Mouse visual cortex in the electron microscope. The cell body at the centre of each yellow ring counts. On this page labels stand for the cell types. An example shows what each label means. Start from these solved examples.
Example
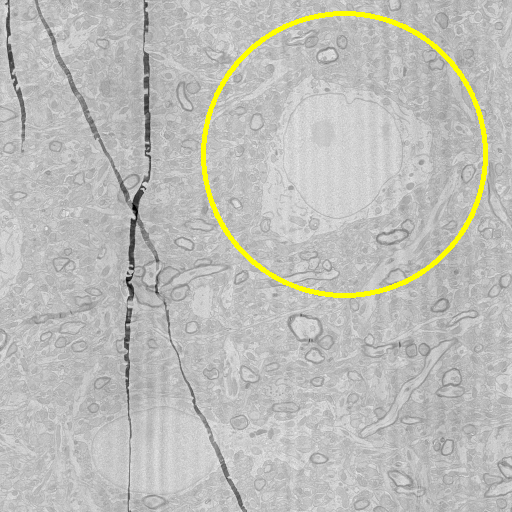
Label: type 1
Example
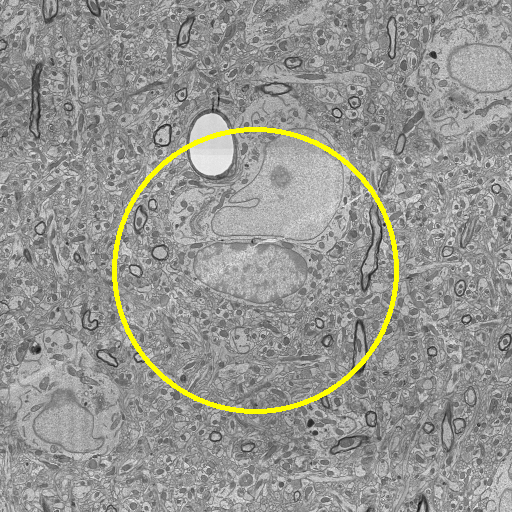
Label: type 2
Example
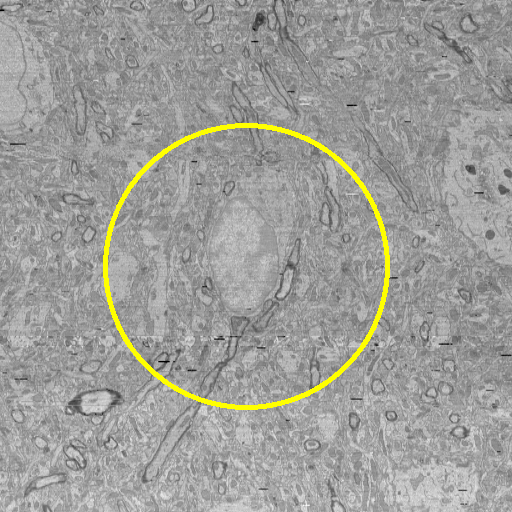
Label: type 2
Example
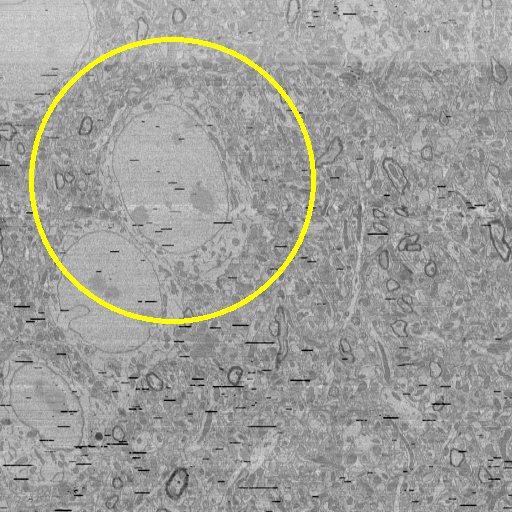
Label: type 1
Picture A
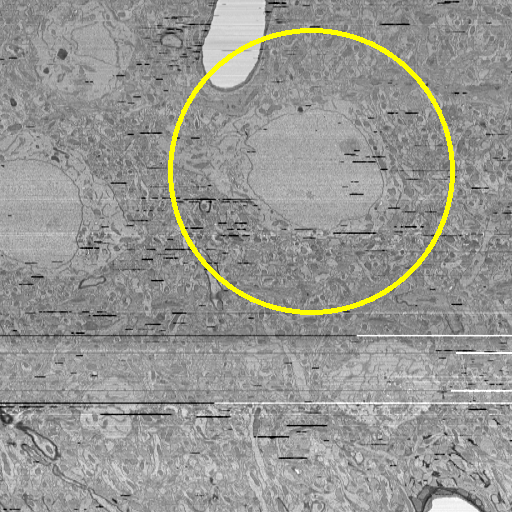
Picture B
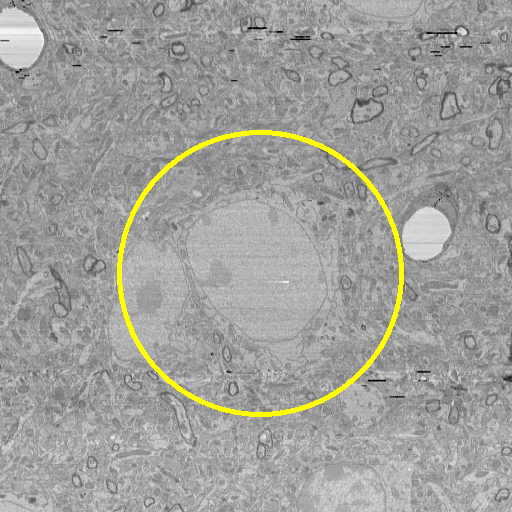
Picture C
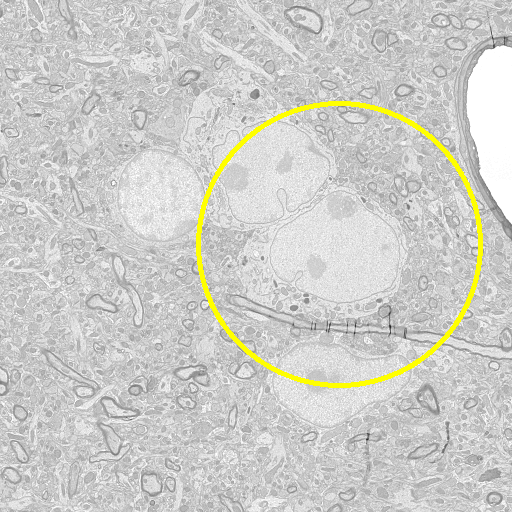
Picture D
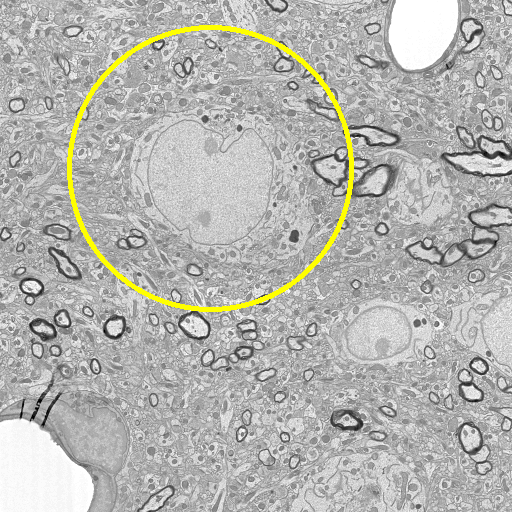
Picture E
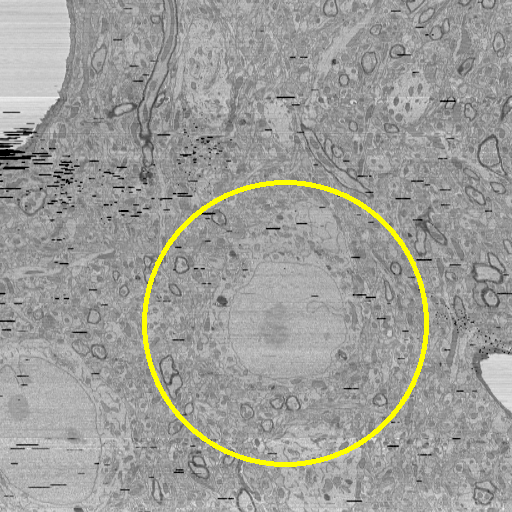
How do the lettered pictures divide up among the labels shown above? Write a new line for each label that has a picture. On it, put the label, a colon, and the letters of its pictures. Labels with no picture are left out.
type 1: A, B, C, D, E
